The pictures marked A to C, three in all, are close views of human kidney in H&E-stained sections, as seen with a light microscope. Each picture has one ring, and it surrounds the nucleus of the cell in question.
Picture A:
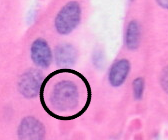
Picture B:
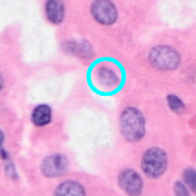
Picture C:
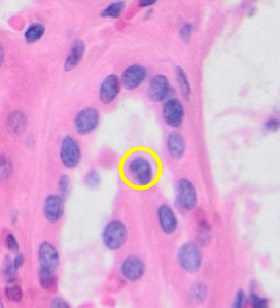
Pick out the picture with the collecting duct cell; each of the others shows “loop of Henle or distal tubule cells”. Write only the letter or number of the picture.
A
